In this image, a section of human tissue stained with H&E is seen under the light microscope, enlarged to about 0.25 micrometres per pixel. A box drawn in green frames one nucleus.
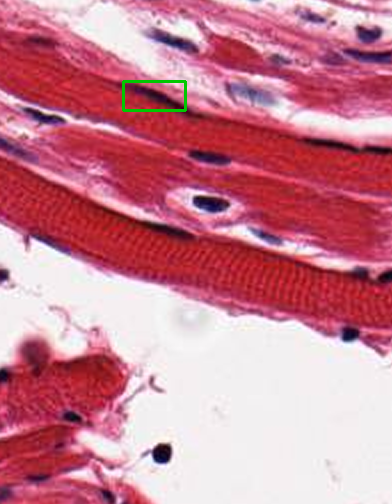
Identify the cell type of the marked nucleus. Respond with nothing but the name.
skeletal muscle fibre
